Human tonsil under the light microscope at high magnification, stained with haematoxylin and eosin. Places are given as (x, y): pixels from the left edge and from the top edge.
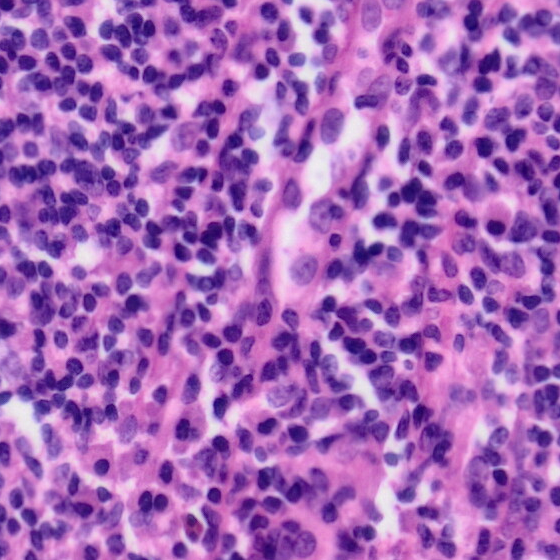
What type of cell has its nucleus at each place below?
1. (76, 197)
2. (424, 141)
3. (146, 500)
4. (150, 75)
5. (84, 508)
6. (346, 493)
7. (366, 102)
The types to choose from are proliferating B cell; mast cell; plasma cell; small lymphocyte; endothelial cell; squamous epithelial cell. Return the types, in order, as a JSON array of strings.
["small lymphocyte", "plasma cell", "plasma cell", "small lymphocyte", "plasma cell", "endothelial cell", "endothelial cell"]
